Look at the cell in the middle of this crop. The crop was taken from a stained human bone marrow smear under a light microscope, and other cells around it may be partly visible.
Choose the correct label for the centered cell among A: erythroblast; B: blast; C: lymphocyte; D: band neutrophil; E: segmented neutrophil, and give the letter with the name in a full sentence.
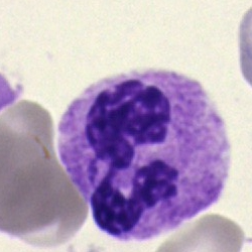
Option E is correct, naming the cell in the middle as a segmented neutrophil.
